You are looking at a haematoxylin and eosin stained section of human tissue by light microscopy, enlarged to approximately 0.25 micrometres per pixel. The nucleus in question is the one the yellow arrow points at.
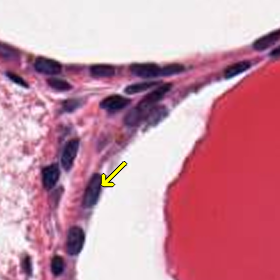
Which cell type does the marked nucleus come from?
thyroid follicular cell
